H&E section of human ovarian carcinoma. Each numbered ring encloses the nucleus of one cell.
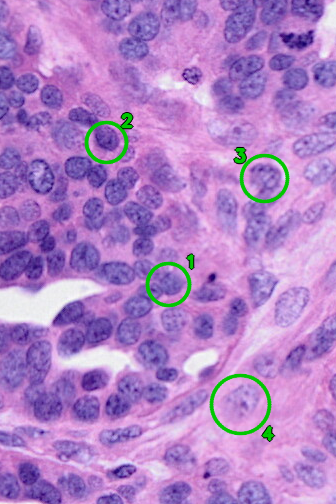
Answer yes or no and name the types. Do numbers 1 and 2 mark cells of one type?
Yes, that is correct, cells 1 and 2 are both carcinoma cells.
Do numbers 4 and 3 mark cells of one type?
No, cell 3 is a macrophage or monocyte, whereas cell 4 is a fibroblast.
